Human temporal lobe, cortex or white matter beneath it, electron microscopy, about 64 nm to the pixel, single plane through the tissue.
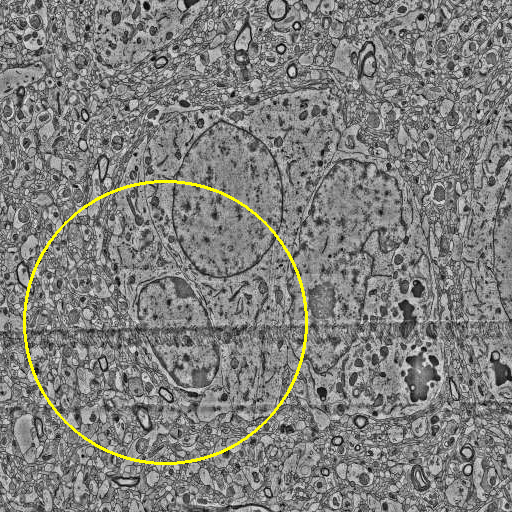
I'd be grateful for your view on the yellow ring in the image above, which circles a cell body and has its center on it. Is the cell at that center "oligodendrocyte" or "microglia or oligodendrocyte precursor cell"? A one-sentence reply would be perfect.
The cell at the center of the yellow ring is a microglial cell or oligodendrocyte precursor cell.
